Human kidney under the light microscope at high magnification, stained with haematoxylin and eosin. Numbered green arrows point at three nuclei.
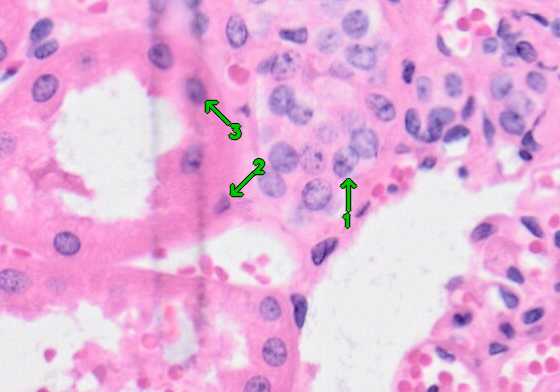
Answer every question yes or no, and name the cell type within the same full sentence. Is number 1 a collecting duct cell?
Yes. The cell carrying number 1 is a collecting duct cell.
